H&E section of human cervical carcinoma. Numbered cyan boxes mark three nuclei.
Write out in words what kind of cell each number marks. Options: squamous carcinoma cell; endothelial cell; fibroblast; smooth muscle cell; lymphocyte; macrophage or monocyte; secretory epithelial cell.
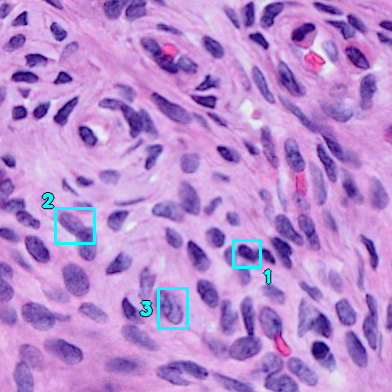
Cells 1 and 2 are fibroblasts. Cell 3 is an endothelial cell.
